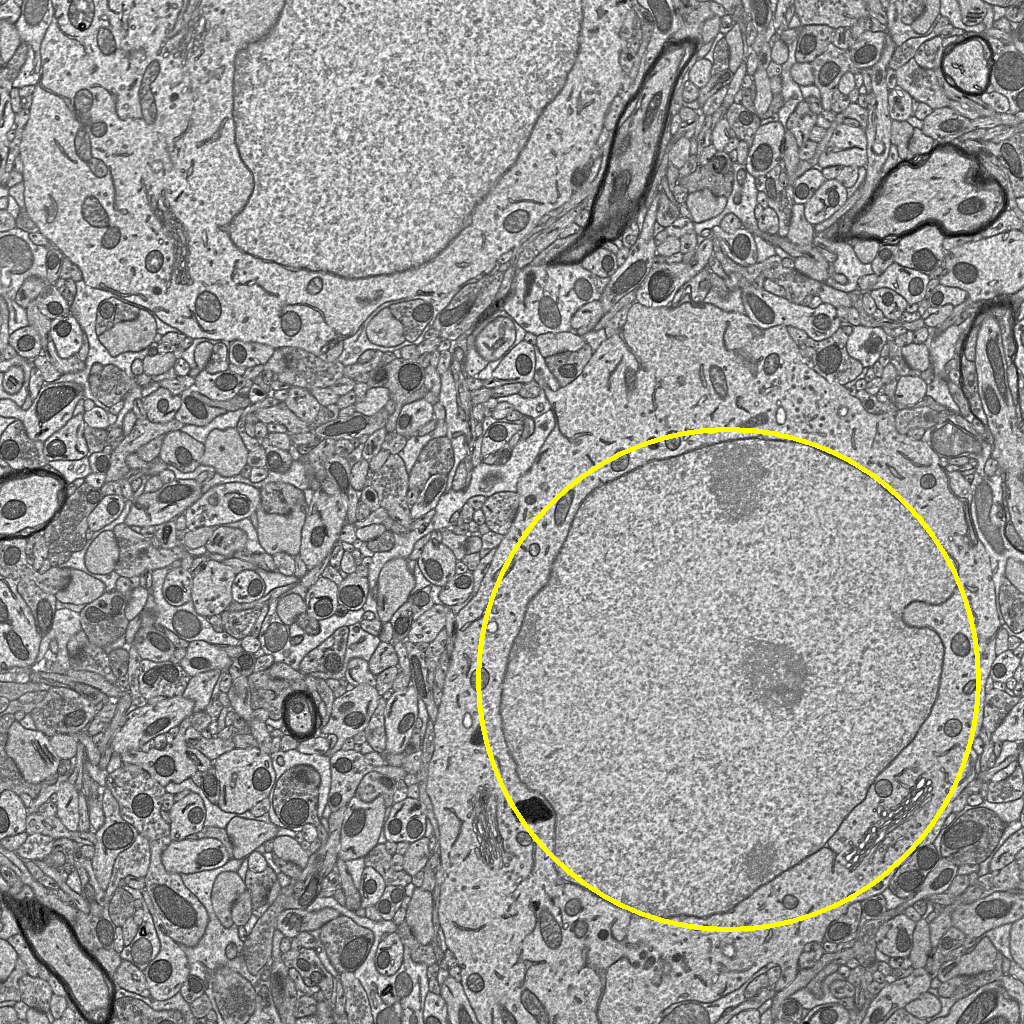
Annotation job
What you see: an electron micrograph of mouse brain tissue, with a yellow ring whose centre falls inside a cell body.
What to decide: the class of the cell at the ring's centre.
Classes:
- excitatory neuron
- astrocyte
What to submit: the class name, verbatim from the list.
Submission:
excitatory neuron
